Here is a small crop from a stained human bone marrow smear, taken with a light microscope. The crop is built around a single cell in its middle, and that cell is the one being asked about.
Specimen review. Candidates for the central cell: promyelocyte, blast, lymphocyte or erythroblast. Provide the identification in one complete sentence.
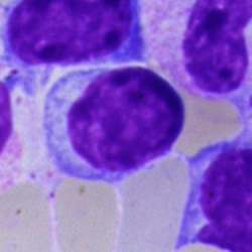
Where the crop is centred, there is a lymphocyte.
